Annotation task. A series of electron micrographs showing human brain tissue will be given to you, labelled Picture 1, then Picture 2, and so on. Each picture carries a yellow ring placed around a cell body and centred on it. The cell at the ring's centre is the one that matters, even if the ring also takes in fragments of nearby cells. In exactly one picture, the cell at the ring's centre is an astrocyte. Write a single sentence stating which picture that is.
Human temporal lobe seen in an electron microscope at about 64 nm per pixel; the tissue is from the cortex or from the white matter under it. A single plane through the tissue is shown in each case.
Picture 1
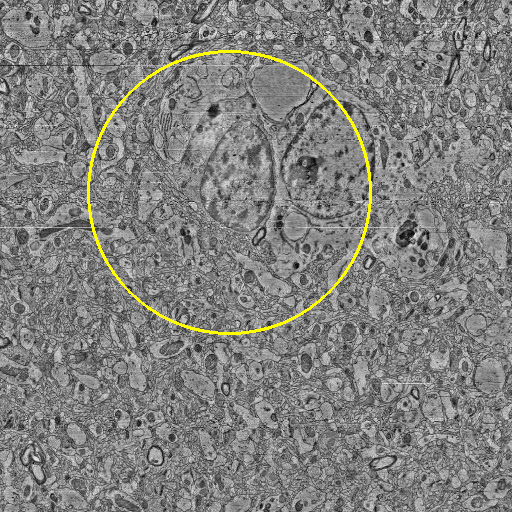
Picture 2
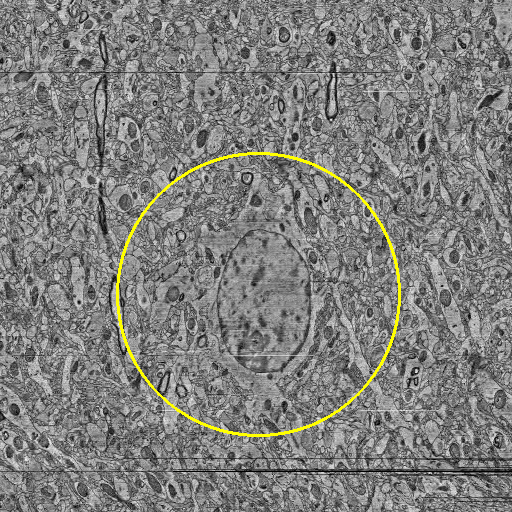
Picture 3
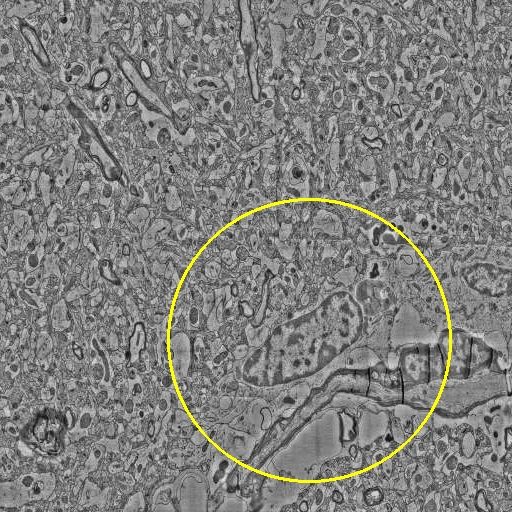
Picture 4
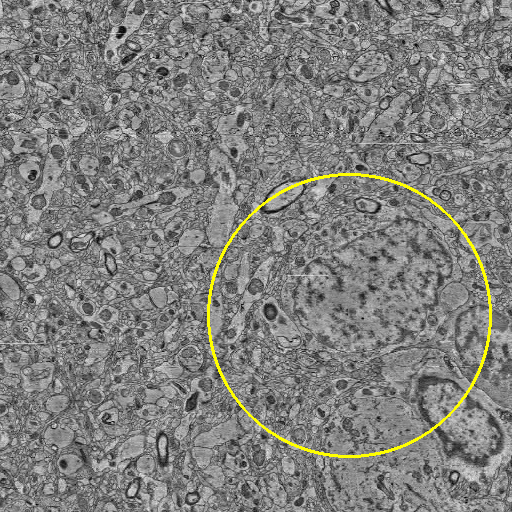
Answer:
Picture 2 holds the requested cell at the very centre of its ring.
